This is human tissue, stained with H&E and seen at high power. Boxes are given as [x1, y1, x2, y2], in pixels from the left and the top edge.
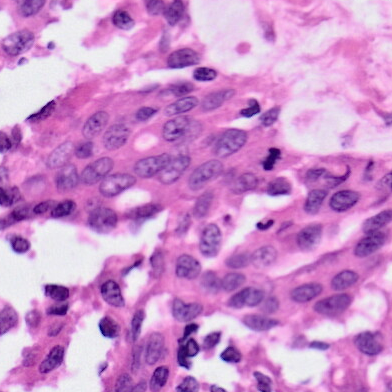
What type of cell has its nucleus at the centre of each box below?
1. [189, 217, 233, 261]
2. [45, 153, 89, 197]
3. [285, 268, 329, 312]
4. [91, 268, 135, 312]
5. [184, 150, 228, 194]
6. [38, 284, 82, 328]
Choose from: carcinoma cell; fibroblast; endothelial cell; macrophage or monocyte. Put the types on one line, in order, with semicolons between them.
macrophage or monocyte; carcinoma cell; carcinoma cell; macrophage or monocyte; carcinoma cell; macrophage or monocyte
